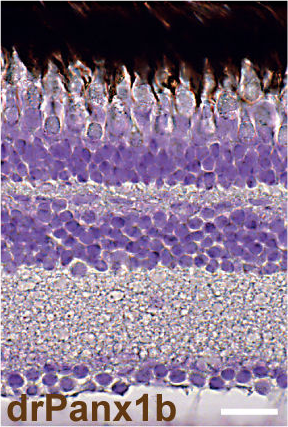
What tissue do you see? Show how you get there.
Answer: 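Layered arrangement of violet nuclear rows separated by pale plexiform bands. Dark pigment and tapering photoreceptor outer segments at the top.
Conclusion: retina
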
